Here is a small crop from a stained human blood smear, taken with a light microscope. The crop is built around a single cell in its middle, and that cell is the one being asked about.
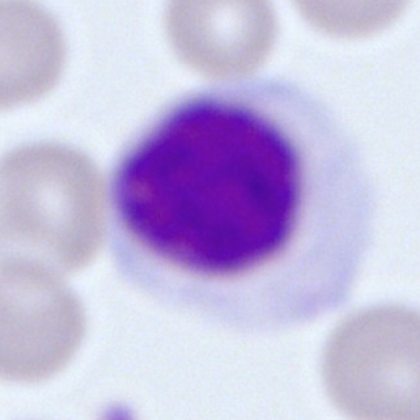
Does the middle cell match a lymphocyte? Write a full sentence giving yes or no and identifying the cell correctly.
Yes, the centrally placed cell is a lymphocyte.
